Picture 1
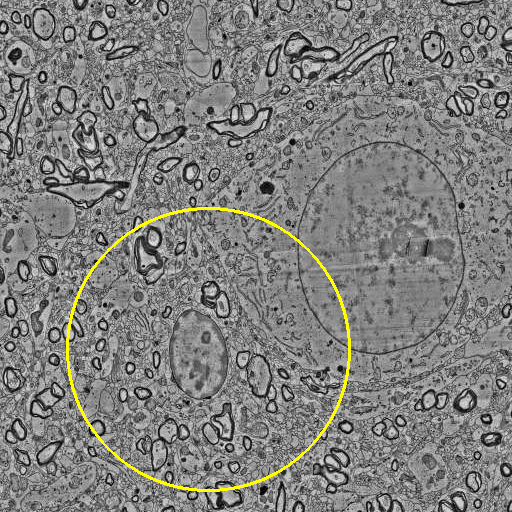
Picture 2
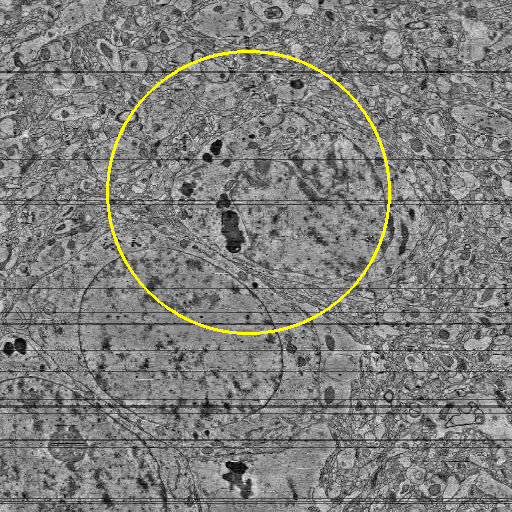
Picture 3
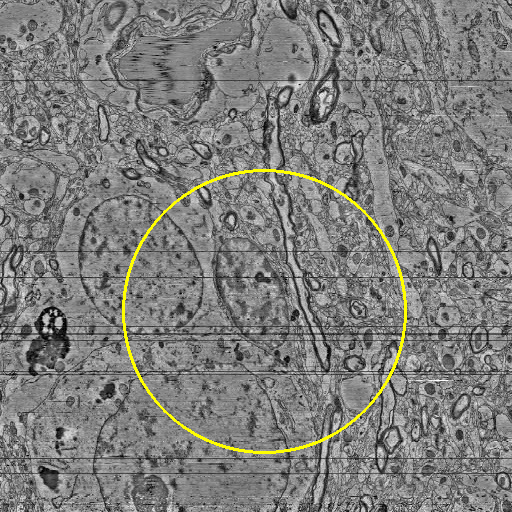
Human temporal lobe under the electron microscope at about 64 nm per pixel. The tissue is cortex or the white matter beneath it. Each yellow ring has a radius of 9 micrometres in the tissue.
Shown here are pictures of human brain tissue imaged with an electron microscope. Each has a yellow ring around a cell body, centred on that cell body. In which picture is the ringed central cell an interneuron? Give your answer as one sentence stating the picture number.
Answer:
My answer is picture 2, where the ringed cell at the centre is the one sought.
